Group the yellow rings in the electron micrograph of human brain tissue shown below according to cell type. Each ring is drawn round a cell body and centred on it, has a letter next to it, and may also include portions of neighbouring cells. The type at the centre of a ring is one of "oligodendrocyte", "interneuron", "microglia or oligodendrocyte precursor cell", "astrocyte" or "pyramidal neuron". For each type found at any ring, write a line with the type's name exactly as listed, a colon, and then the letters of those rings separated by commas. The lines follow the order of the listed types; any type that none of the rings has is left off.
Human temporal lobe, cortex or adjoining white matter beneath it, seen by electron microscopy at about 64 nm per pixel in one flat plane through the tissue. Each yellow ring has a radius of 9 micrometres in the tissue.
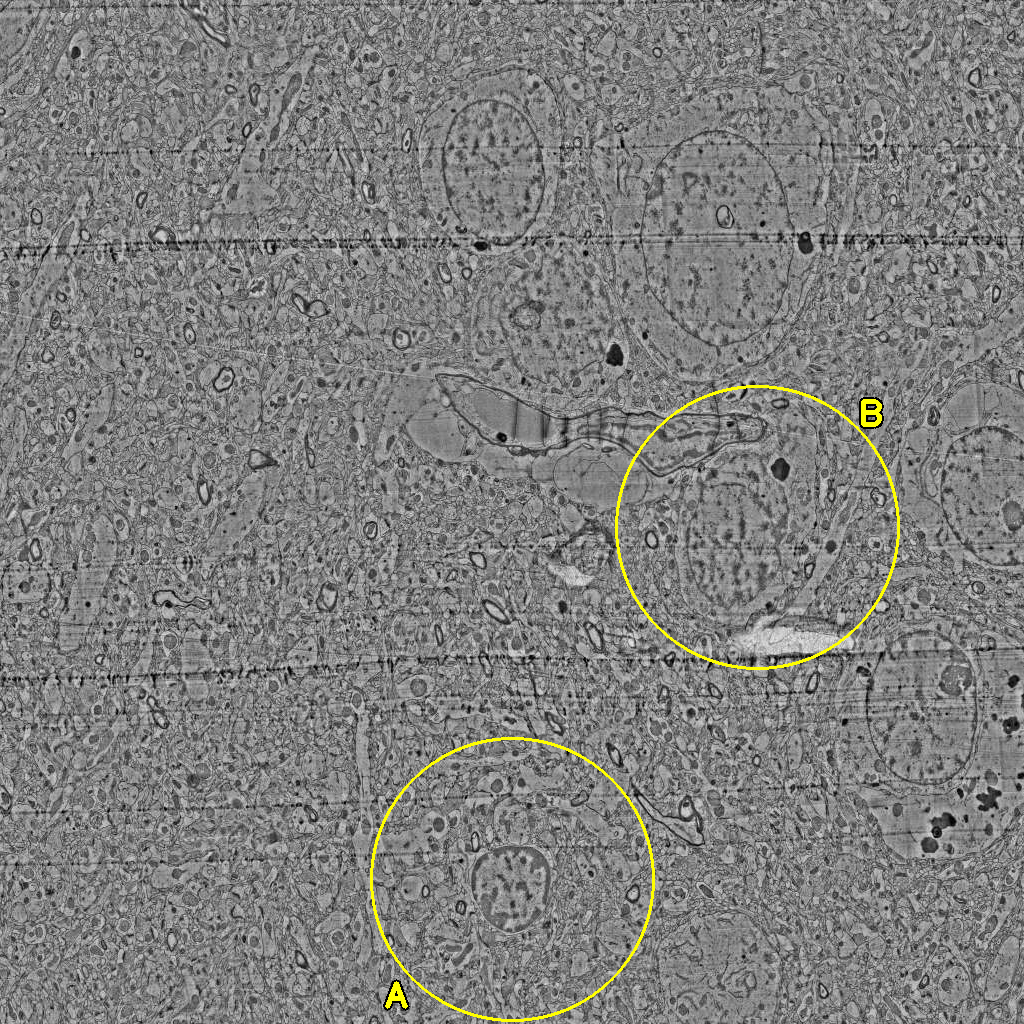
interneuron: B
microglia or oligodendrocyte precursor cell: A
